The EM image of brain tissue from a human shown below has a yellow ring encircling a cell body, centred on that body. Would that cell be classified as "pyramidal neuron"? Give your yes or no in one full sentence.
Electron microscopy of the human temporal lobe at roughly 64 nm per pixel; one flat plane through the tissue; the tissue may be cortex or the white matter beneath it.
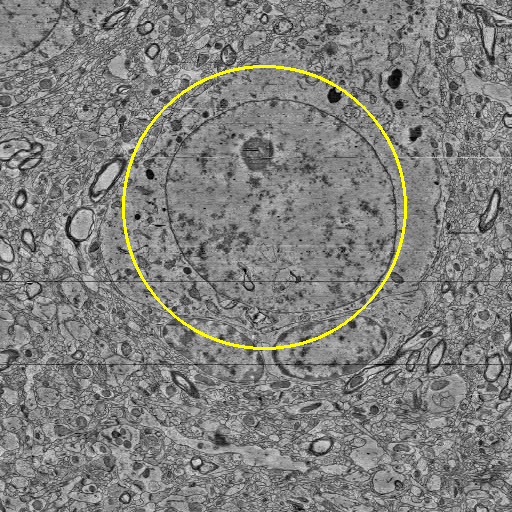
Yes, the cell at the centre of the ring in the picture falls in that class.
